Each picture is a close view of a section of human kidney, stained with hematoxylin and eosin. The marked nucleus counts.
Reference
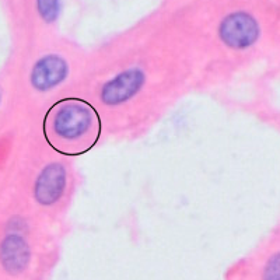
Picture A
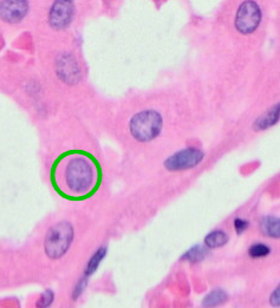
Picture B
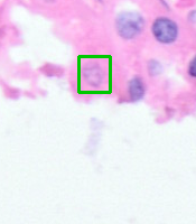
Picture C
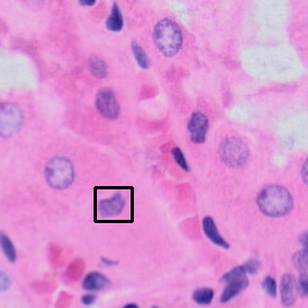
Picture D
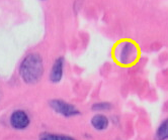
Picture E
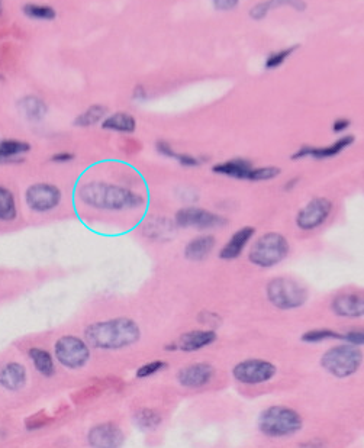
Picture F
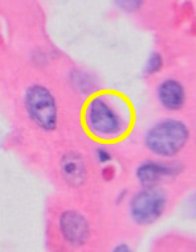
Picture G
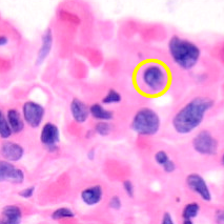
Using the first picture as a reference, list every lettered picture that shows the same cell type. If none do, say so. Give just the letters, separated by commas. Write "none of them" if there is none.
A, B, C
